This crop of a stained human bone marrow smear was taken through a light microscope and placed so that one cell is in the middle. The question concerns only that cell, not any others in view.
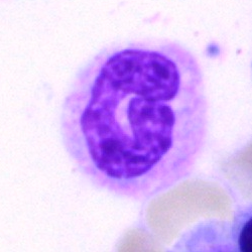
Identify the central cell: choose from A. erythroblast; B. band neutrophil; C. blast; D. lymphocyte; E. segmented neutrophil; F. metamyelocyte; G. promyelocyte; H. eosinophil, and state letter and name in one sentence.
At the centre of the crop lies a segmented neutrophil, which makes option E correct.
